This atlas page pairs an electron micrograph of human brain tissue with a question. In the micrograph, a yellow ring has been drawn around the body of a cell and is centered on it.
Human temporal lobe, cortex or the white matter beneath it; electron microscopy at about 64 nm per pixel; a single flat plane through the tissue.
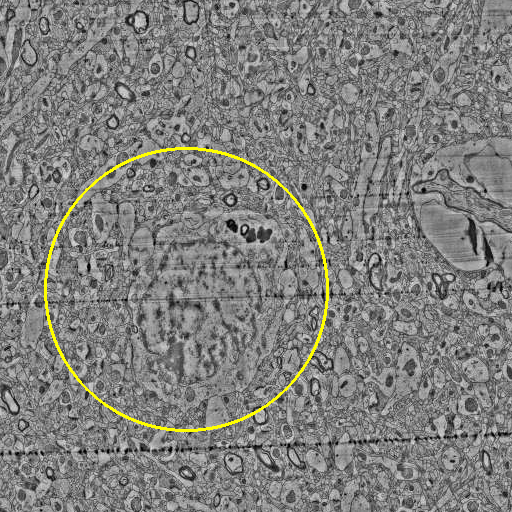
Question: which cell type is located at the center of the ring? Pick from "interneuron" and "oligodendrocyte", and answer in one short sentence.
Located at the center of the ring is an interneuron.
